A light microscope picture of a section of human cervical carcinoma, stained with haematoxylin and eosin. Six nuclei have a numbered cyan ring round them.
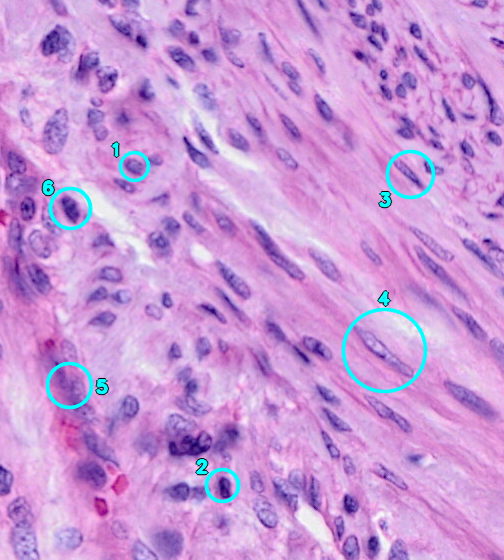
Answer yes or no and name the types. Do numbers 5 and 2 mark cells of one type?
No, not so; cell 5 is an endothelial cell and cell 2 is a lymphocyte.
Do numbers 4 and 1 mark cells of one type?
Yes, cells 4 and 1 both qualify as smooth muscle cells.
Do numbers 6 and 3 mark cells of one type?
No, cell 6 is categorized as a lymphocyte, while cell 3 is categorized as a smooth muscle cell.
